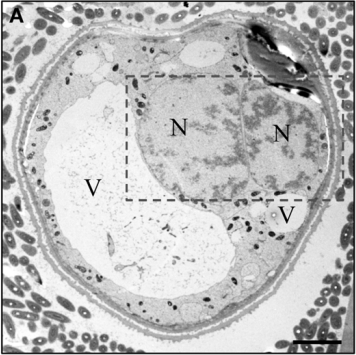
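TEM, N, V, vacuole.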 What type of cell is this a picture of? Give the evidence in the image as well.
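A single rounded cell surrounded by a thick layered outer wall. Two nuclei lie pressed together beside a large vacuole. On this evidence: immature pollen.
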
